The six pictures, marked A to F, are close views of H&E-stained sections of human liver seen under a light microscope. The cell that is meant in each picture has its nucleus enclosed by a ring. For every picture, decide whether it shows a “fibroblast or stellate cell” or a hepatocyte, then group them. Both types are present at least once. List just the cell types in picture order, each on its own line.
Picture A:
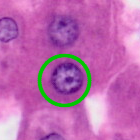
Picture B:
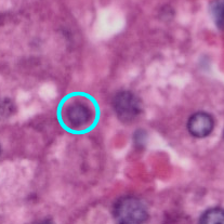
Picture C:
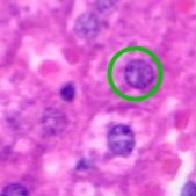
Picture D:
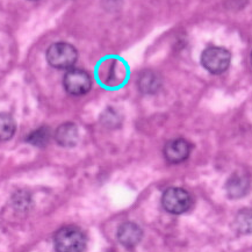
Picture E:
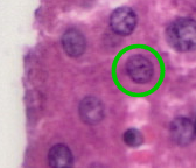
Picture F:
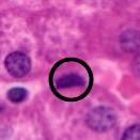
hepatocyte
hepatocyte
hepatocyte
fibroblast or stellate cell
hepatocyte
fibroblast or stellate cell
